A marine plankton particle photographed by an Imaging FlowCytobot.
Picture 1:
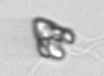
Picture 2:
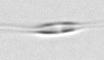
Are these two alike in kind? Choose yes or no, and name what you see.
No. First Pyramimonas, second Cylindrotheca.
